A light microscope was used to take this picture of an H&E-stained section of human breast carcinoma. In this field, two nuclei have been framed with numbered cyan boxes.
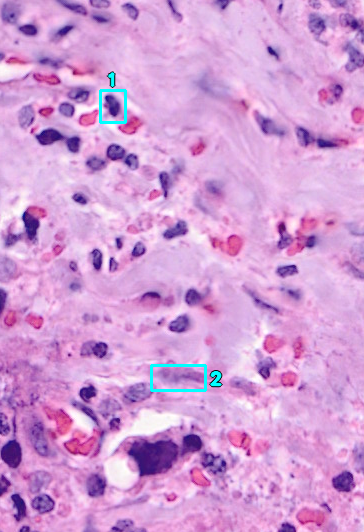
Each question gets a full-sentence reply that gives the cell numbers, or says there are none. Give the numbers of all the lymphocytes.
Of all the numbered cells, only cell 1 is a lymphocyte.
